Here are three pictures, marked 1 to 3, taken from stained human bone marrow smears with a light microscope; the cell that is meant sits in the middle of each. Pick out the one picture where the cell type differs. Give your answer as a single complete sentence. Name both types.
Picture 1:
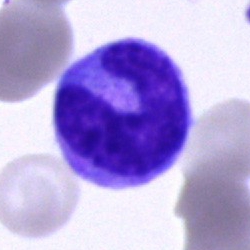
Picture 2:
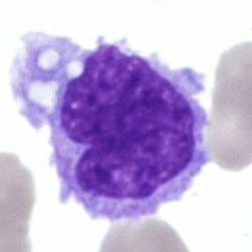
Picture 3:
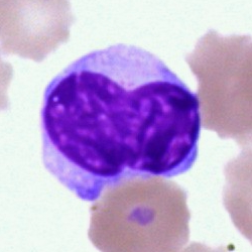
The different one is picture 3; it shows a hairy cell, whereas all the others show monocytes.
